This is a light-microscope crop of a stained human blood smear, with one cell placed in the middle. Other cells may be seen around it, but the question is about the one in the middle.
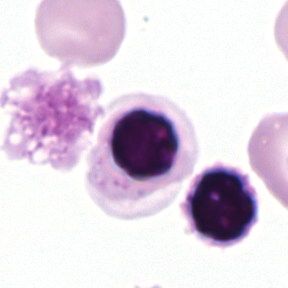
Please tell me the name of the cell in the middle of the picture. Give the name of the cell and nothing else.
normoblast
